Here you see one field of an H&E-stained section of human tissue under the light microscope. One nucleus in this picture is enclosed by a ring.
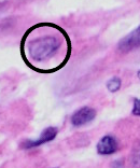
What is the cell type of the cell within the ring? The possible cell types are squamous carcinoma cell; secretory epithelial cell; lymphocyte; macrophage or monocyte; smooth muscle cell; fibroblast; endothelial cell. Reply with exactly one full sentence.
Within the stained tissue, the cell within the ring is a macrophage or monocyte.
